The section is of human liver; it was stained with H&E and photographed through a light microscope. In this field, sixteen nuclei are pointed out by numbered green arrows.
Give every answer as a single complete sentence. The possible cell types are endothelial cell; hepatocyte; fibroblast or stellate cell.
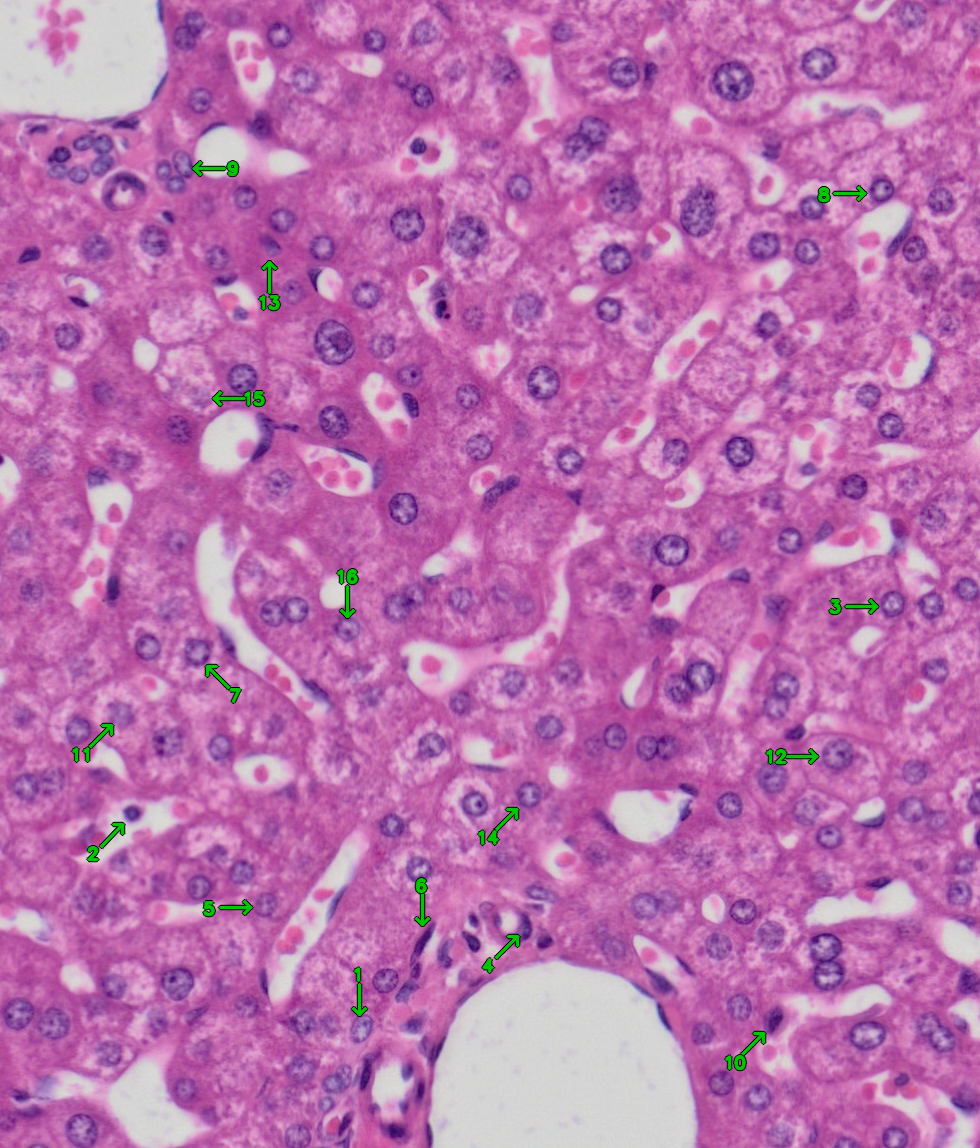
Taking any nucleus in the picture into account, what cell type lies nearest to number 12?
It is a fibroblast or stellate cell whose nucleus is nearest to number 12.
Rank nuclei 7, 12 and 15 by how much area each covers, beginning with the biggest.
The nuclei rank 12, 7, 15, from largest to smallest.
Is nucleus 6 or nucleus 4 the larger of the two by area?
The larger nucleus is 6, at roughly 1.5 times the area of 4.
